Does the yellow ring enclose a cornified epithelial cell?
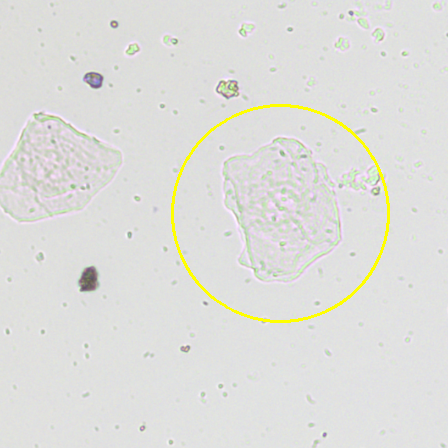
Yes. The ring encloses a cornified epithelial cell.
